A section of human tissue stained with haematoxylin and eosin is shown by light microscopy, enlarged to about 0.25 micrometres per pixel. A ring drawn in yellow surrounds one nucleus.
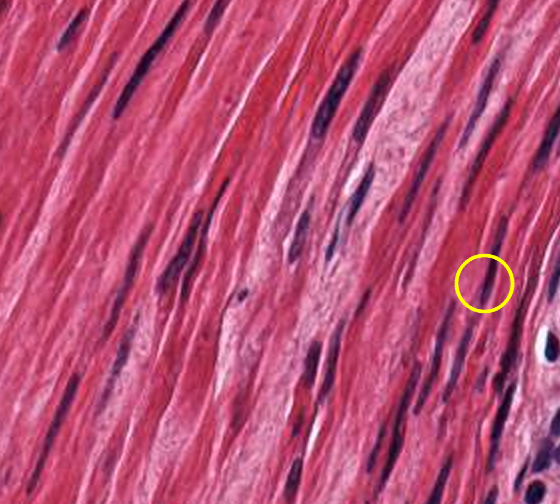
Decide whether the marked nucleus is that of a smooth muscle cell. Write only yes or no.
yes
